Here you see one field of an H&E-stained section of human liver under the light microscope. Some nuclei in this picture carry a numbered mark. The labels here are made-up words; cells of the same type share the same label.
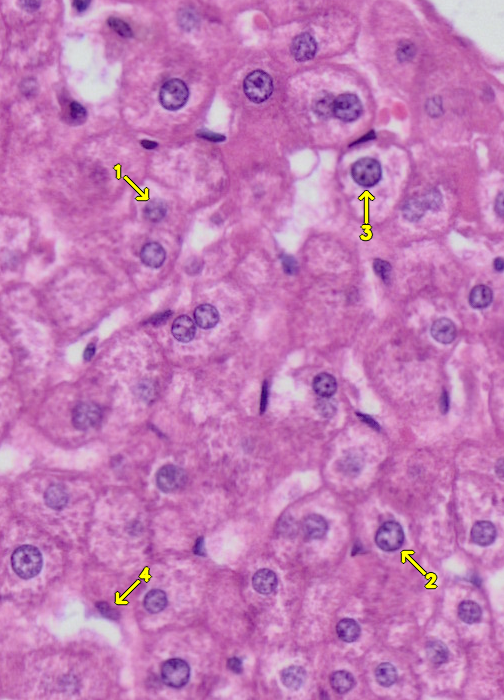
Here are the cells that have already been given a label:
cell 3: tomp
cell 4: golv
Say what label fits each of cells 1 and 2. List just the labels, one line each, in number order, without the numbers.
tomp
tomp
